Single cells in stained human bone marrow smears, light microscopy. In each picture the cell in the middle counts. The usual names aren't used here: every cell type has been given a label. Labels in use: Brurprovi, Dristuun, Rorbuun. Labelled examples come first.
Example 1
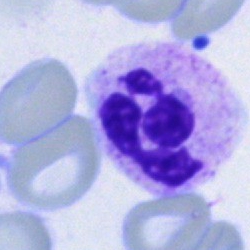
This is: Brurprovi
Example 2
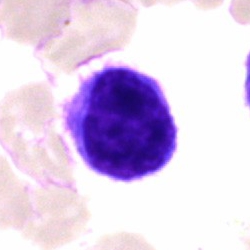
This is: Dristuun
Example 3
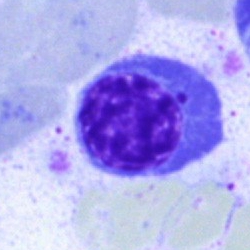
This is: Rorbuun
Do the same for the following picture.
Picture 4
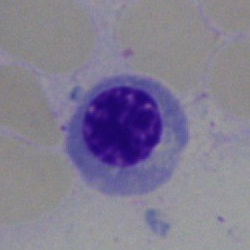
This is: Rorbuun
